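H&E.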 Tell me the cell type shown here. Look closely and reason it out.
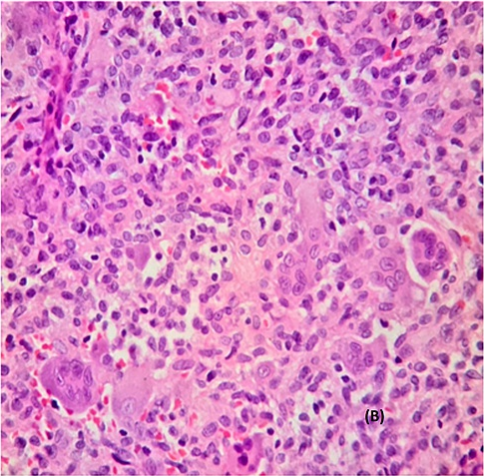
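Large cells with abundant pink cytoplasm. Each large cell holds several oval nuclei clustered together. These large cells lie scattered among smaller single-nucleated cells. That points to this answer: multinucleated giant cells.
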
